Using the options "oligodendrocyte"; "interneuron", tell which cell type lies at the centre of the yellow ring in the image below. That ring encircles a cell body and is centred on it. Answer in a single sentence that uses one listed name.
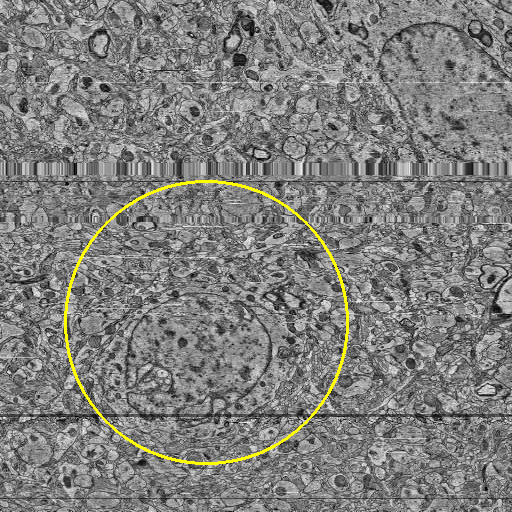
At the centre of the yellow ring lies the body of an interneuron.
